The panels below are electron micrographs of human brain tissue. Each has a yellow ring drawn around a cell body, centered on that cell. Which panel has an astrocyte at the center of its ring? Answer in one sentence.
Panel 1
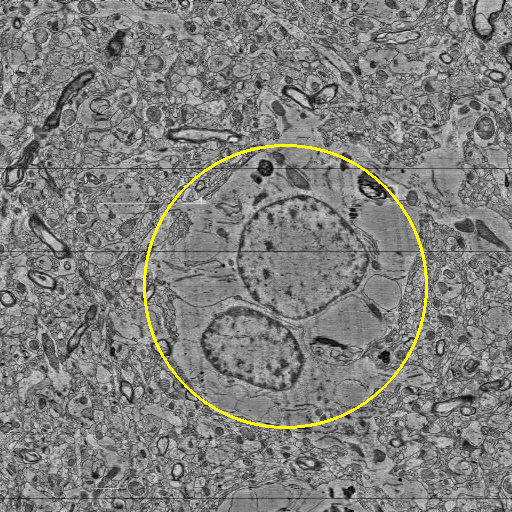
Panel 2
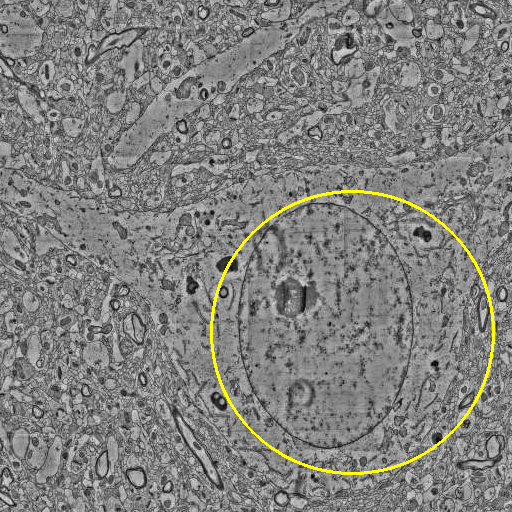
Panel 1 has it at the center of its ring.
